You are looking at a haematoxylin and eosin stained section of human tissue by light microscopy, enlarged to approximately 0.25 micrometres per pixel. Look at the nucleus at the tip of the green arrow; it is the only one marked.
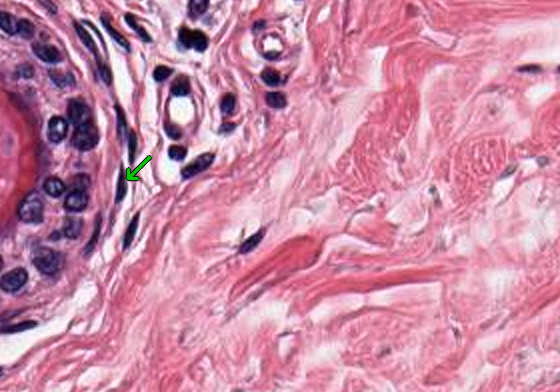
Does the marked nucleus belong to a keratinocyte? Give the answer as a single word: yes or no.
no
